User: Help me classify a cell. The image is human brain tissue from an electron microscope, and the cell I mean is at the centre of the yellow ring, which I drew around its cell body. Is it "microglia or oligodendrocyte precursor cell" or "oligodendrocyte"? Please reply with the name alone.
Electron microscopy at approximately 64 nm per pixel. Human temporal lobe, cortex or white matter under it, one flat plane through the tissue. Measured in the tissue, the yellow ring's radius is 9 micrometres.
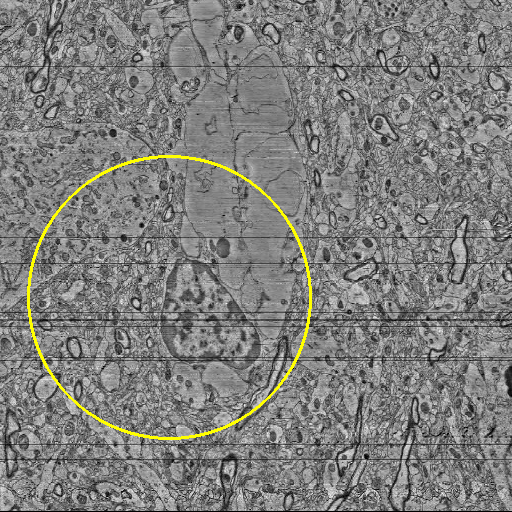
microglia or oligodendrocyte precursor cell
